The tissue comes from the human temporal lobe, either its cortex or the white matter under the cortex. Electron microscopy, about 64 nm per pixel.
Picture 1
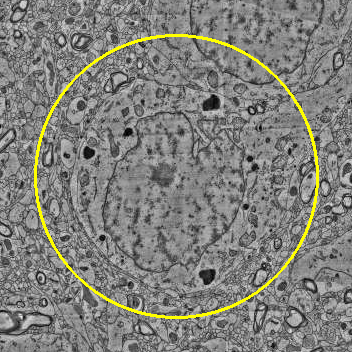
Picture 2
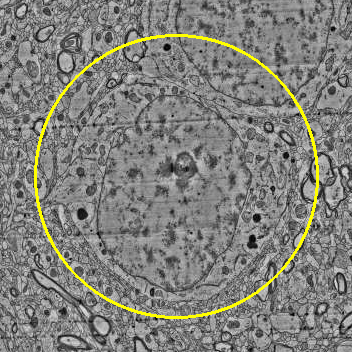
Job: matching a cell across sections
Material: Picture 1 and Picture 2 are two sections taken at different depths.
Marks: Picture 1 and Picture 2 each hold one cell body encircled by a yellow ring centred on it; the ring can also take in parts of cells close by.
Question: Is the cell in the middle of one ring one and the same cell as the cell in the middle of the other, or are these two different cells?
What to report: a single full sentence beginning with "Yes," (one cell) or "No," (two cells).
Yes, a single cell is marked twice, once by each yellow ring.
